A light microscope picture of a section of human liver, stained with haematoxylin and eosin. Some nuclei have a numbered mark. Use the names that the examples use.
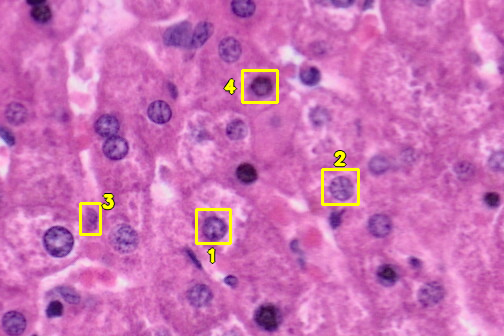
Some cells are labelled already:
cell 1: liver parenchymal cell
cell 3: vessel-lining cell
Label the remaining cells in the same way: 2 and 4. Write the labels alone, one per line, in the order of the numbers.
liver parenchymal cell
liver parenchymal cell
